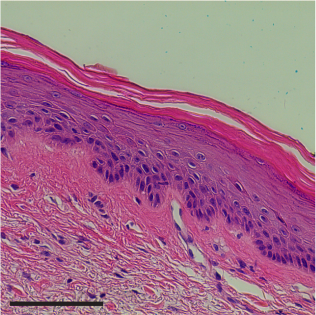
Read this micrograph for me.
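Normal skin in cross section, with a stratified epidermis over pale pink fibrous dermis. The basal cells have dark, crowded nuclei along an undulating border with the dermis. Above them, the keratinocytes flatten toward the surface and are closely joined without gaps. The surface carries a compact, pink, layered cornified layer without retained nuclei.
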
